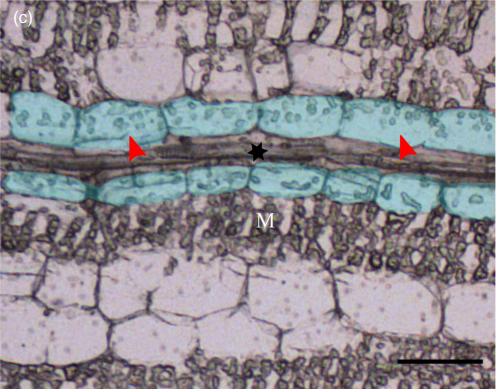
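This paradermal leaf section shows a vein with bundle sheath cells, shaded blue, flanking a central strand of vascular tissue, with mesophyll cells outside them. The bundle sheath cells are elongated, lying end to end in a single row on each side of the thin, dark-walled vascular elements. Small granular chloroplasts are visible inside them. Beyond the mesophyll lie large, pale, empty-looking cells with thin walls.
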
